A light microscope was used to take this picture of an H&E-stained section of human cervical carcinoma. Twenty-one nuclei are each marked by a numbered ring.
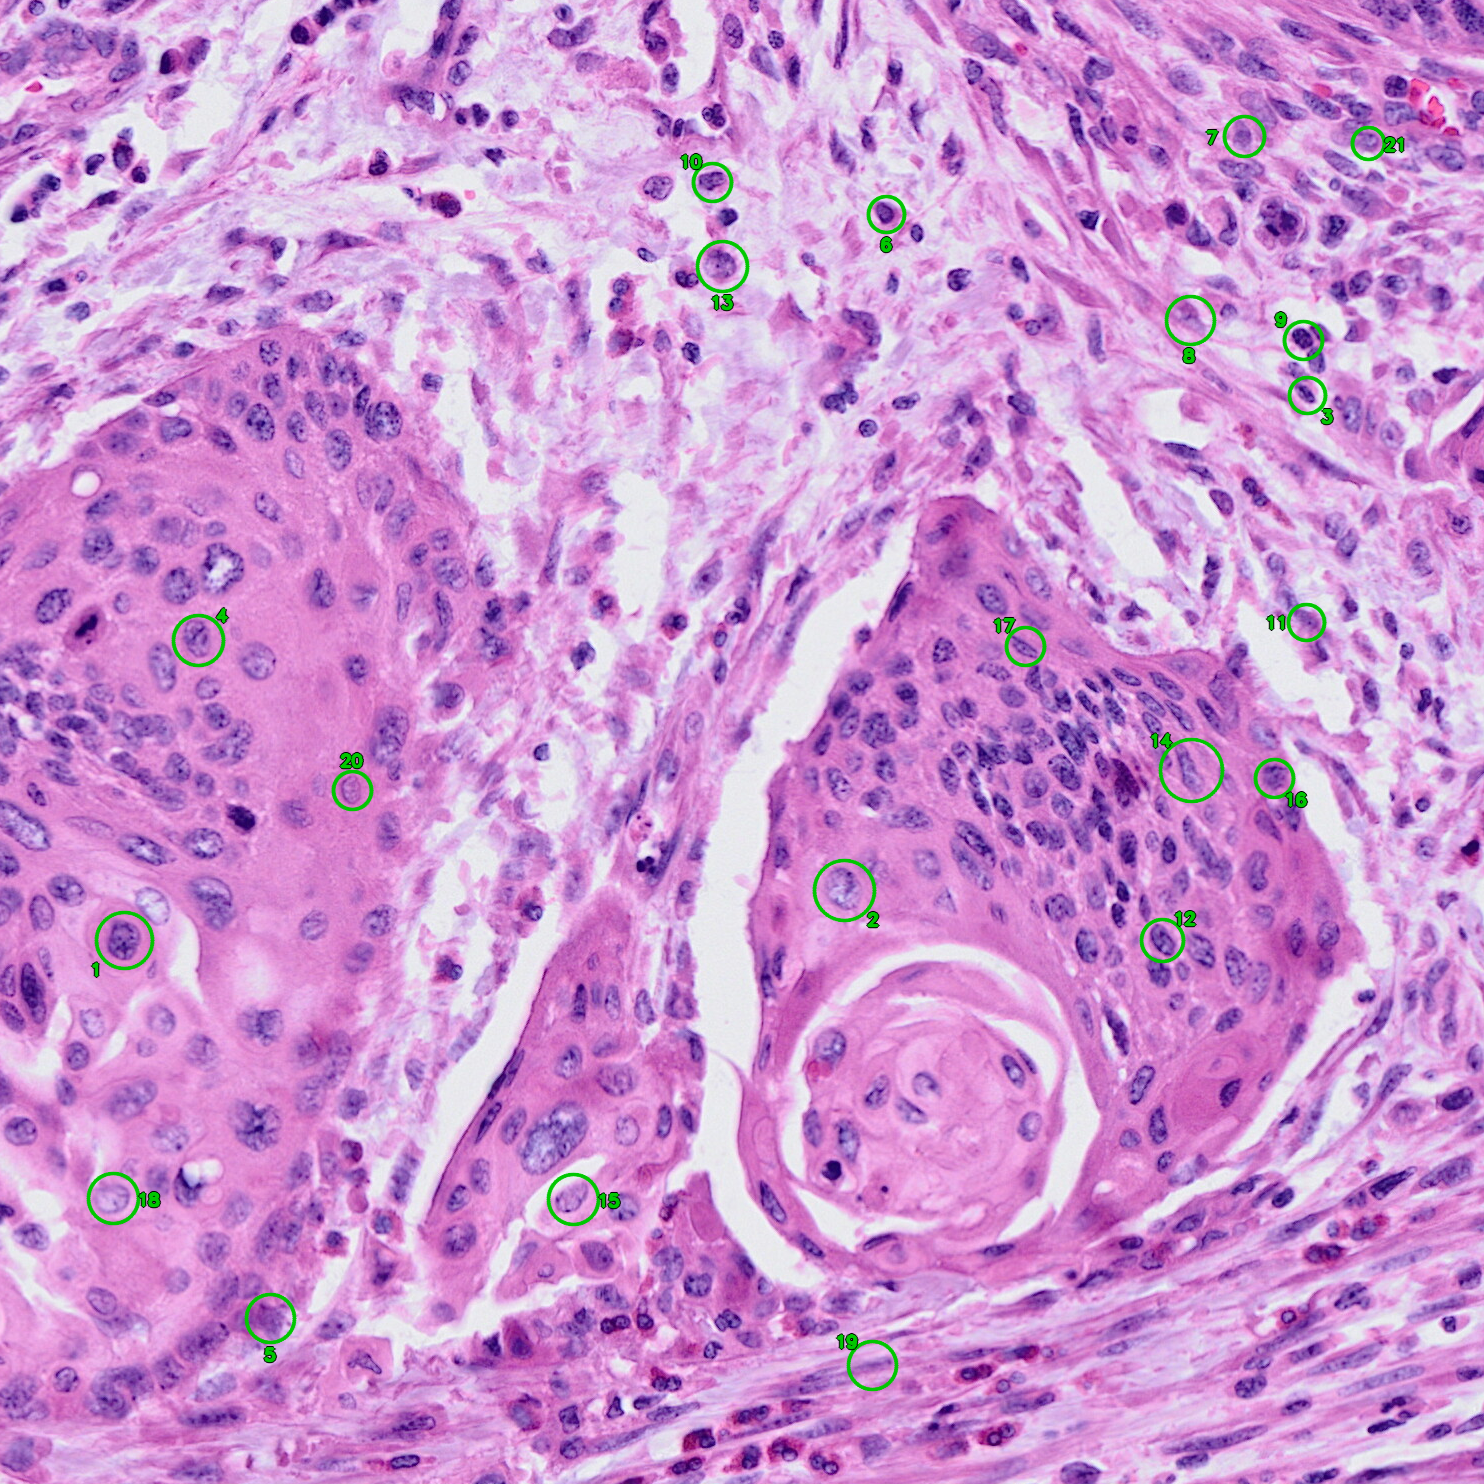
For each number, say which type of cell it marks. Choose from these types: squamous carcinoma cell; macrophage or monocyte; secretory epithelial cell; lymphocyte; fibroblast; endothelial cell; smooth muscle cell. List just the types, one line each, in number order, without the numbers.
squamous carcinoma cell
squamous carcinoma cell
lymphocyte
squamous carcinoma cell
fibroblast
macrophage or monocyte
fibroblast
fibroblast
lymphocyte
macrophage or monocyte
fibroblast
squamous carcinoma cell
macrophage or monocyte
squamous carcinoma cell
squamous carcinoma cell
squamous carcinoma cell
squamous carcinoma cell
squamous carcinoma cell
fibroblast
squamous carcinoma cell
endothelial cell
